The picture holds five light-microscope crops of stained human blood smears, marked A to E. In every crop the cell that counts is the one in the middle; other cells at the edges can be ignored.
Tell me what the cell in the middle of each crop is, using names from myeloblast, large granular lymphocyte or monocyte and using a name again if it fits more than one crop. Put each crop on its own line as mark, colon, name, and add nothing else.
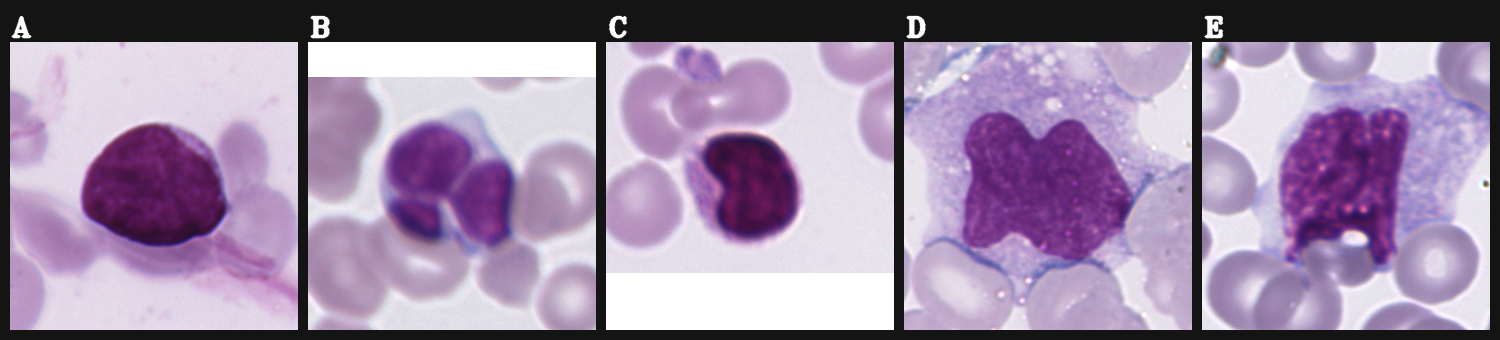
A: myeloblast
B: large granular lymphocyte
C: large granular lymphocyte
D: monocyte
E: monocyte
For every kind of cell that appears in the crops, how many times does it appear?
large granular lymphocyte: 2
monocyte: 2
myeloblast: 1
